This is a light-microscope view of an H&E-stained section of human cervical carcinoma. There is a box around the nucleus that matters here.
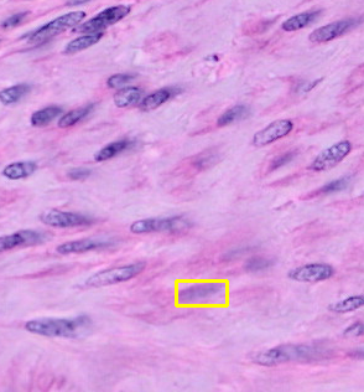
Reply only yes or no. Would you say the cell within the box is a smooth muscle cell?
yes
